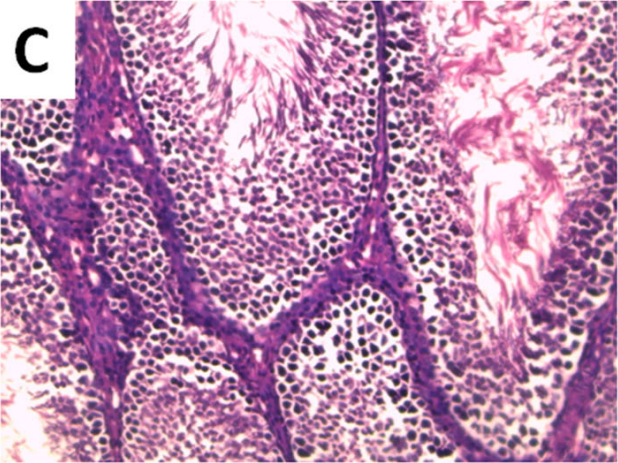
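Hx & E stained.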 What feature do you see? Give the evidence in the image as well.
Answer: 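Each tubule is lined by many layers of round, dark-nucleated cells. Pale pink threadlike material fills the tubule centres.
Hence: seminiferous tubules.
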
